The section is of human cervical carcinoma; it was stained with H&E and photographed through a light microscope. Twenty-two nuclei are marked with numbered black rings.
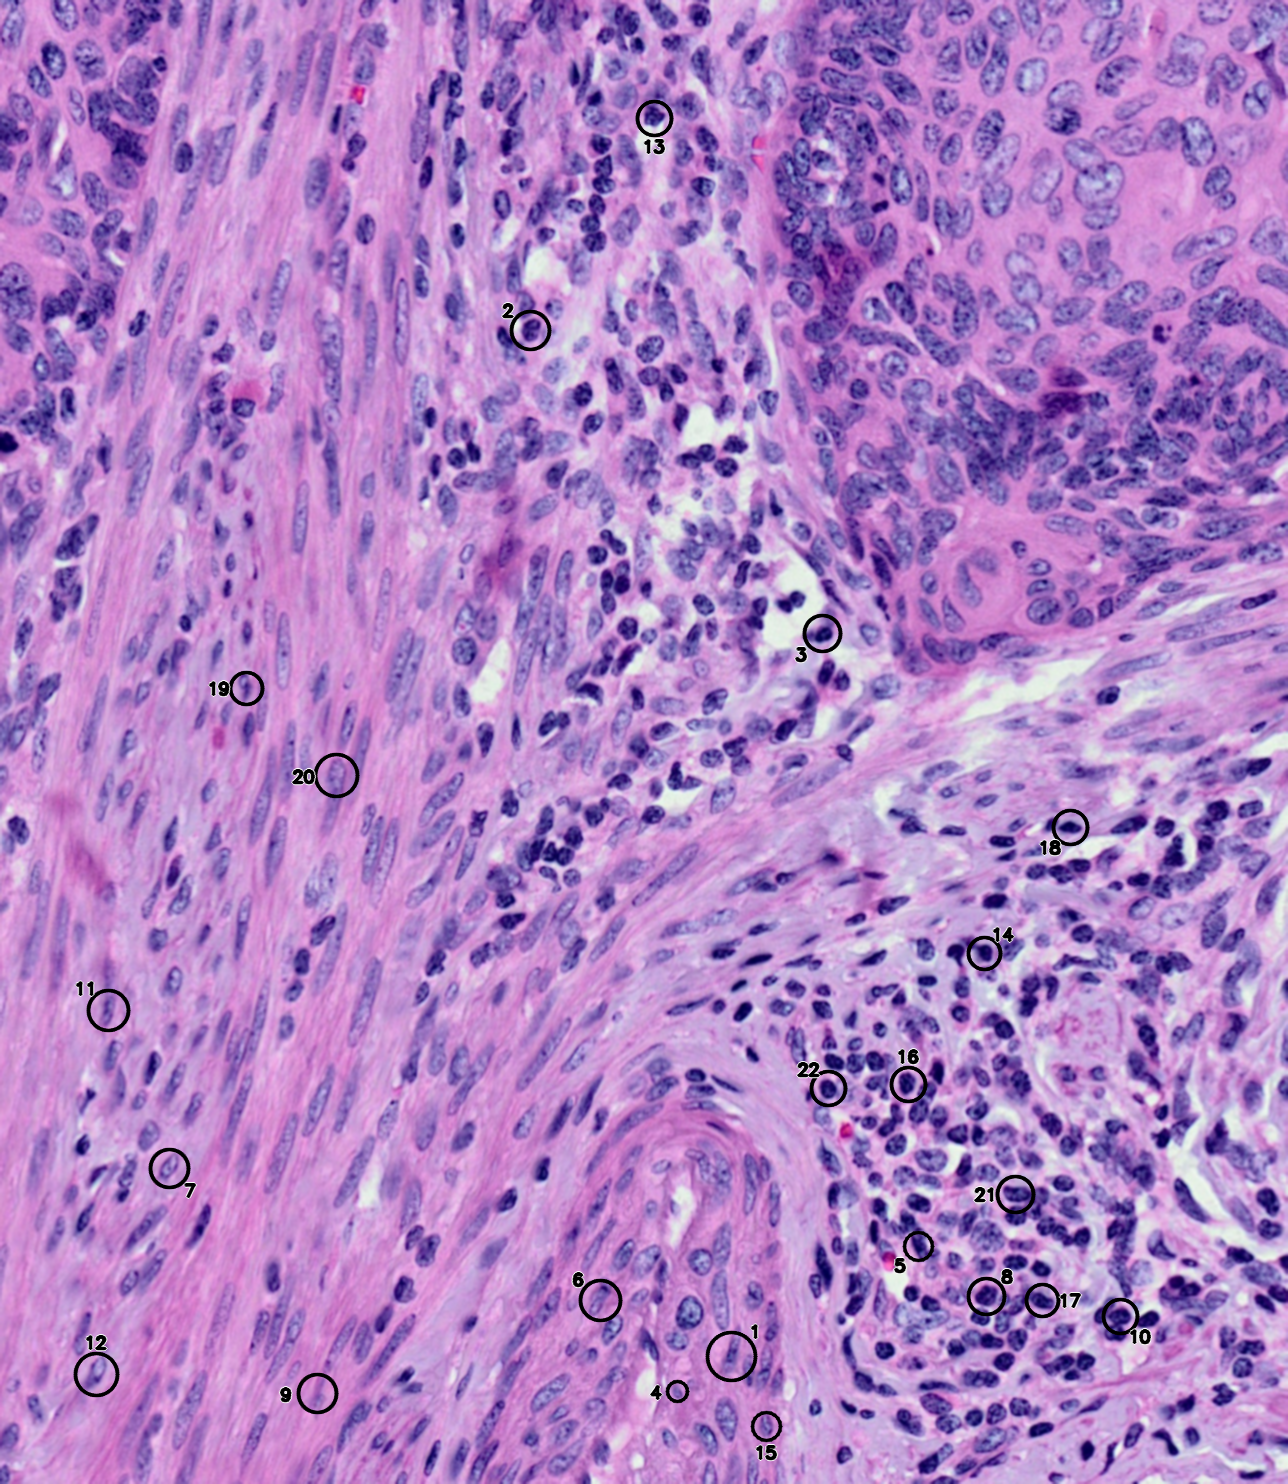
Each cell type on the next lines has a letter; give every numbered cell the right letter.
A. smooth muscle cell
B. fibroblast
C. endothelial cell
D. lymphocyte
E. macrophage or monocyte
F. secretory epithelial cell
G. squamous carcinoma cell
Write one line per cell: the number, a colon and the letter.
1: A
2: D
3: D
4: A
5: D
6: A
7: A
8: D
9: A
10: D
11: A
12: A
13: D
14: D
15: A
16: D
17: D
18: D
19: A
20: A
21: D
22: D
